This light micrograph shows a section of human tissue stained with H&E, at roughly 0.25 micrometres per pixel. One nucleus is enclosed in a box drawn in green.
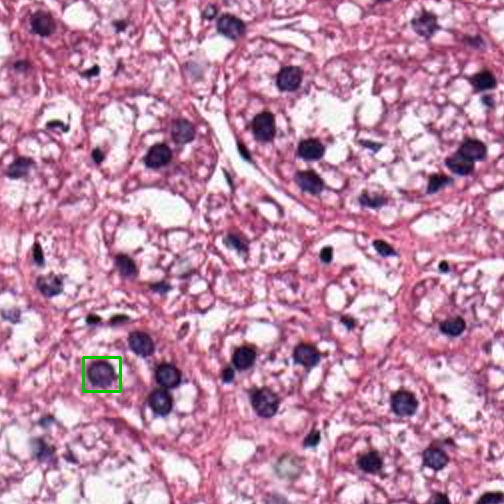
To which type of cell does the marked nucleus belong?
adrenal cortical cell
